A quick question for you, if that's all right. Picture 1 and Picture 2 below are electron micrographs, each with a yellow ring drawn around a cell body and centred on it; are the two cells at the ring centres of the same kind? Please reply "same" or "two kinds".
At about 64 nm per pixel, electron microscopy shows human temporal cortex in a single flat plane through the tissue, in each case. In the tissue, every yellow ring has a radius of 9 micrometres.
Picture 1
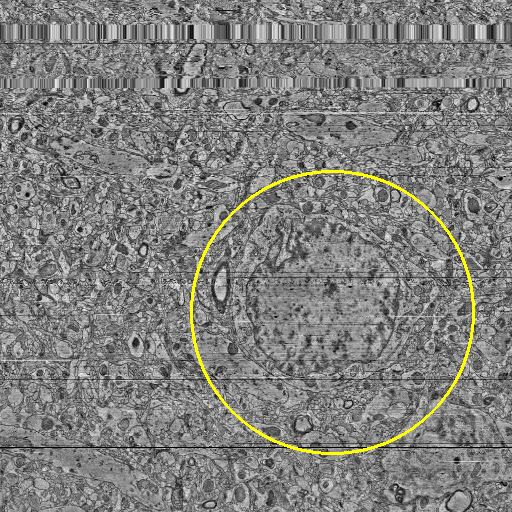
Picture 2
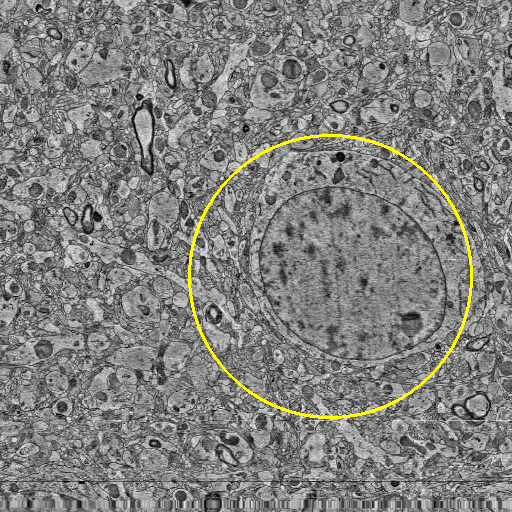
two kinds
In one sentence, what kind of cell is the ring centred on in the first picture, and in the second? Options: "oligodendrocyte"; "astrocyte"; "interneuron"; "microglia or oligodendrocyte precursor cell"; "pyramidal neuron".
The cell at the centre of the second ring is a pyramidal neuron; the first ring's cell is an interneuron.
